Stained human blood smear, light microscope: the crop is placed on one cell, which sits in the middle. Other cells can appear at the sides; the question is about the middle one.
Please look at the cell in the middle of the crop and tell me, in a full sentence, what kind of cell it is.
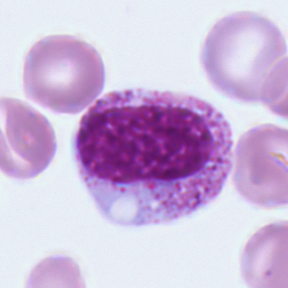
The middle of this crop is occupied by a metamyelocyte.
